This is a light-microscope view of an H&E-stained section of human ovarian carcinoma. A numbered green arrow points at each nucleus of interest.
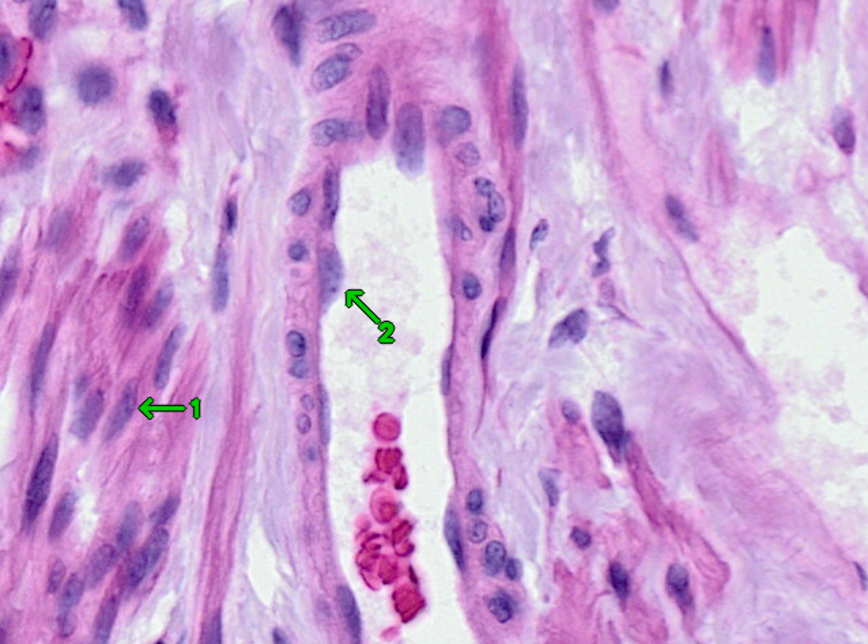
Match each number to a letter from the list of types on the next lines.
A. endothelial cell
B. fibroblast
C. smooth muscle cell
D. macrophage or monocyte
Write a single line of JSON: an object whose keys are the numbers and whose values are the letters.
{"1": "C", "2": "A"}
